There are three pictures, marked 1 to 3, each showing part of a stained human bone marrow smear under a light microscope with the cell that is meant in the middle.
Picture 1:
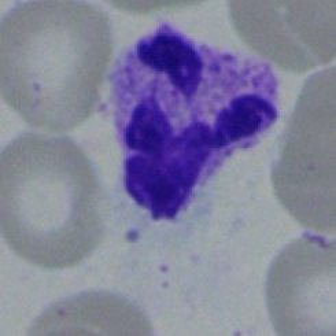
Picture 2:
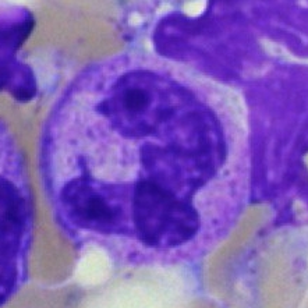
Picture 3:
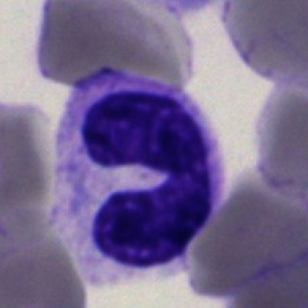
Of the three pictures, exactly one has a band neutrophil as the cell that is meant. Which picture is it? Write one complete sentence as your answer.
The picture with the band neutrophil is 3.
